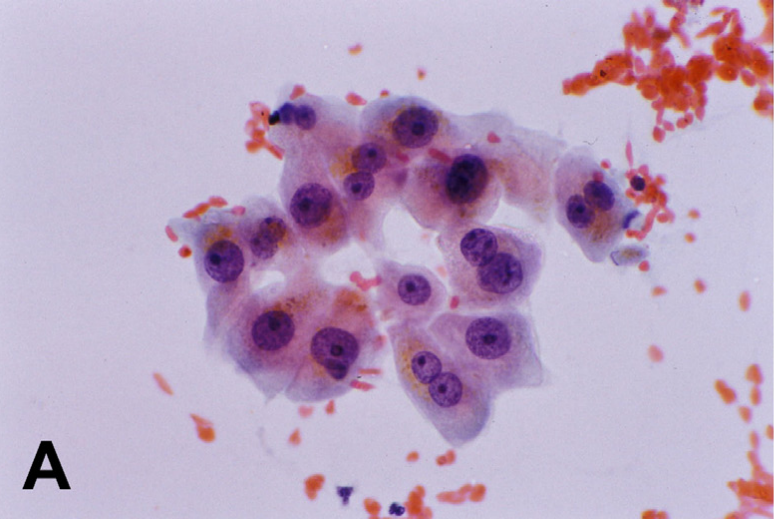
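The nuclei are round and sit centrally; their membranes are crisply outlined, the chromatin is granular, and most show a distinct dark nucleolus. Notice that several cells carry two nuclei, and that the cells vary somewhat in size and nuclear size, a normal variation in these non-tumour cells. Golden-brown granules of pigment lie in the cytoplasm of several cells. Orange-red blood cells are scattered around the cluster.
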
